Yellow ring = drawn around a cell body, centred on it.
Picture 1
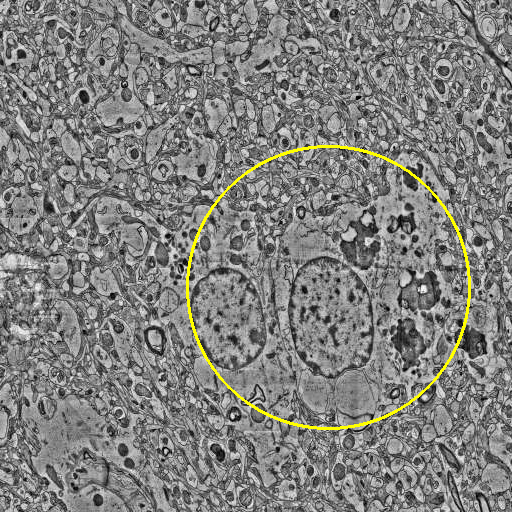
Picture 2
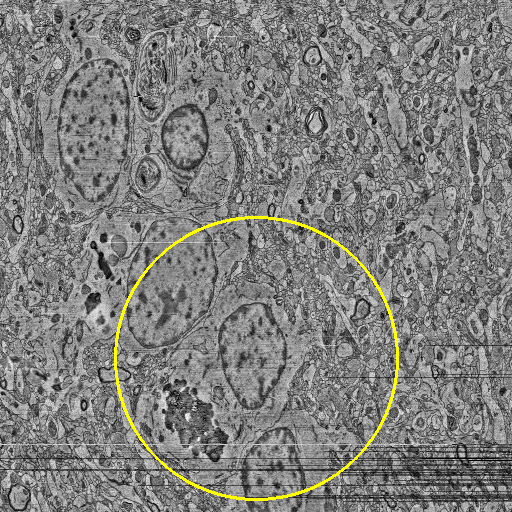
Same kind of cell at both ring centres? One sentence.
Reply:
Yes, they are the same kind of cell.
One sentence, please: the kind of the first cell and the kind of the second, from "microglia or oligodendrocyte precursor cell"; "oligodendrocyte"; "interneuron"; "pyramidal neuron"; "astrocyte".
In each picture the ringed cell is an astrocyte.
